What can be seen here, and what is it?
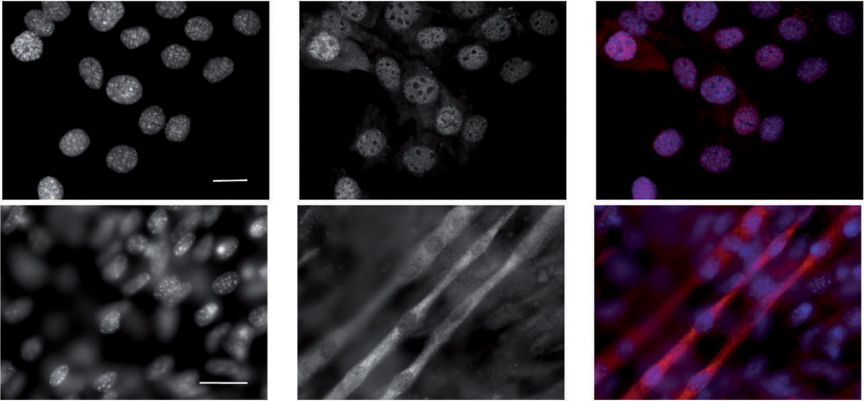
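The upper row shows separate, rounded myoblasts with oval nuclei, and there the red stain lies mostly over the nuclei, which look pink-purple in the merge. The lower row shows long, thin myotubes running in parallel diagonal bands, each carrying several nuclei in a row. In these myotubes the red fills the cytoplasm along their length, while many round nuclei of other cells lie scattered between them.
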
